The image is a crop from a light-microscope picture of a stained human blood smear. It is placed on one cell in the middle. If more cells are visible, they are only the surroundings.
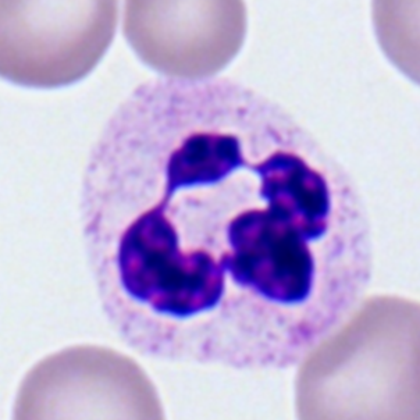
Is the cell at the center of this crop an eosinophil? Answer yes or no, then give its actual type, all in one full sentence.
No, in this crop the middle cell is a segmented neutrophil, not an eosinophil.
